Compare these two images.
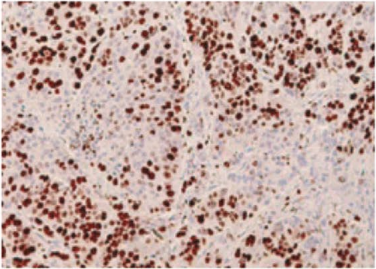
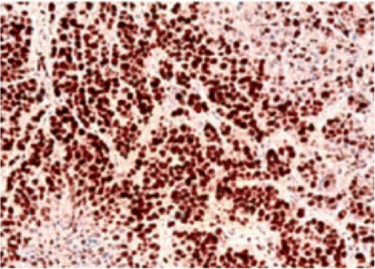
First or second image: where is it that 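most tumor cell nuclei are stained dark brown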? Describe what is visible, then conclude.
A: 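The second image. First image: many nuclei are blue, with brown nuclei clustered in patches. Second image: nearly all tumor cell nuclei are dark brown, few blue nuclei remain.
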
